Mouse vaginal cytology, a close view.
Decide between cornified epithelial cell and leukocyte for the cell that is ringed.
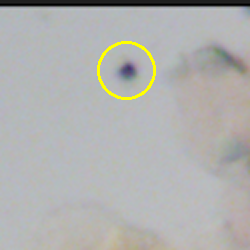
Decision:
I take the ringed cell for a leukocyte.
